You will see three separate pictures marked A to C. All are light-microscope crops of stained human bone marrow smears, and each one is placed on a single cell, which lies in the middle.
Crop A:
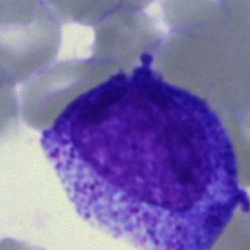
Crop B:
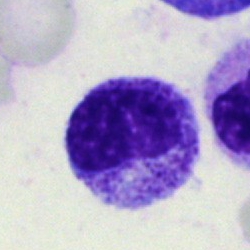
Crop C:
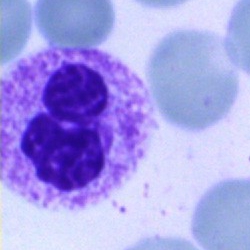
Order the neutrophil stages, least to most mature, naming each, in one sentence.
Least to most mature, the crops are crop A (a promyelocyte), crop B (a metamyelocyte) and crop C (a segmented neutrophil).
